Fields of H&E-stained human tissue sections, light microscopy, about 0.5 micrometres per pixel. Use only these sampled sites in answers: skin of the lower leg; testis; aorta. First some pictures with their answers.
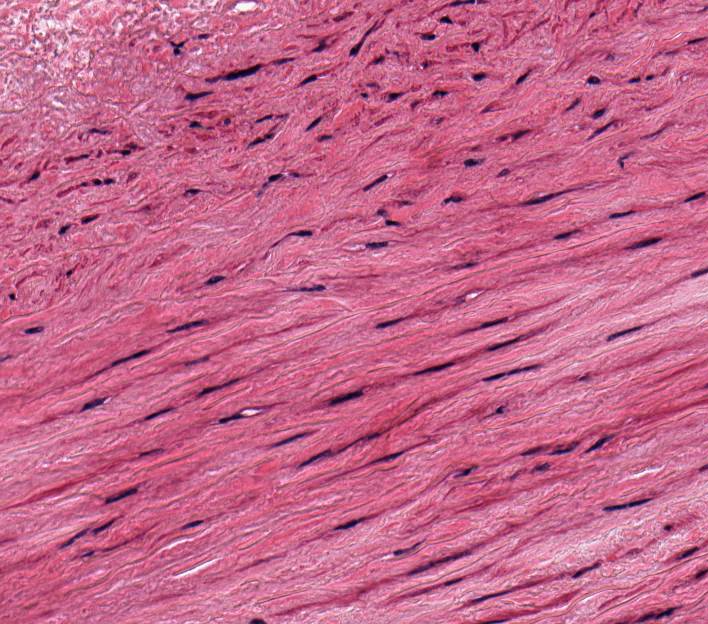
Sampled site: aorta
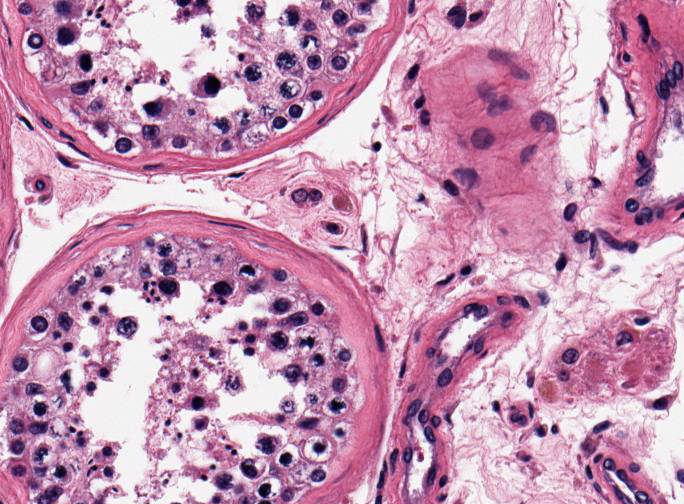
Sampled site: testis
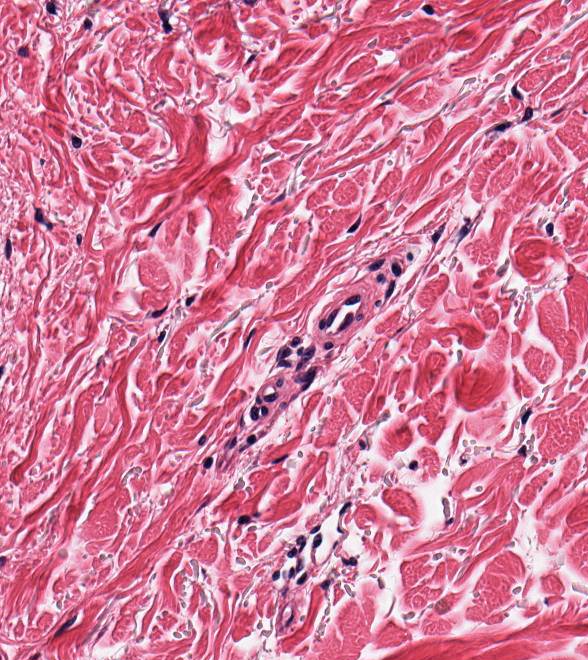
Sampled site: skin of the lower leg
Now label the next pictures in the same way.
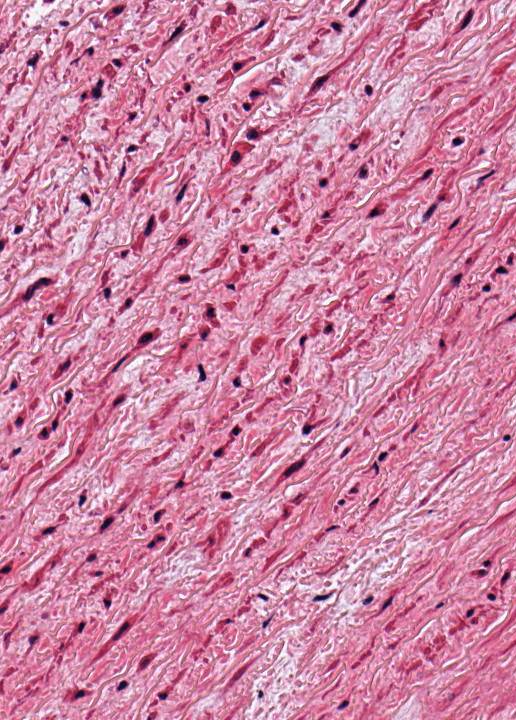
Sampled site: aorta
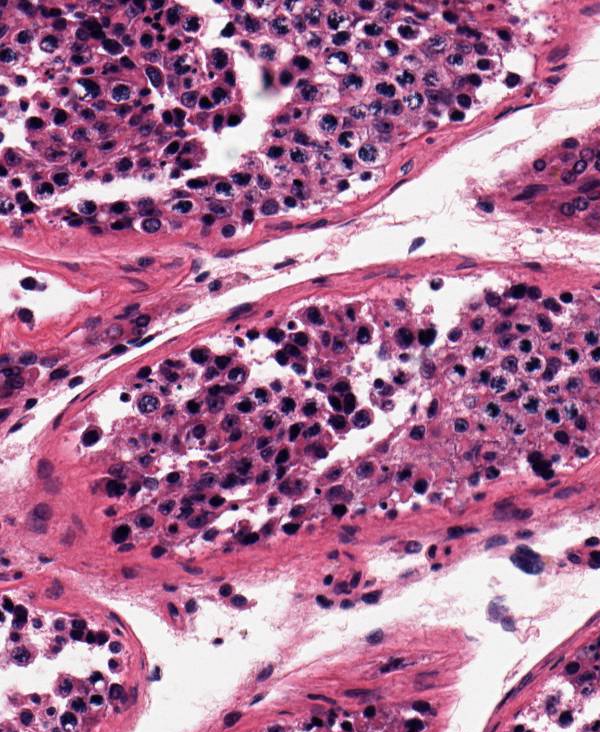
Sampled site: testis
